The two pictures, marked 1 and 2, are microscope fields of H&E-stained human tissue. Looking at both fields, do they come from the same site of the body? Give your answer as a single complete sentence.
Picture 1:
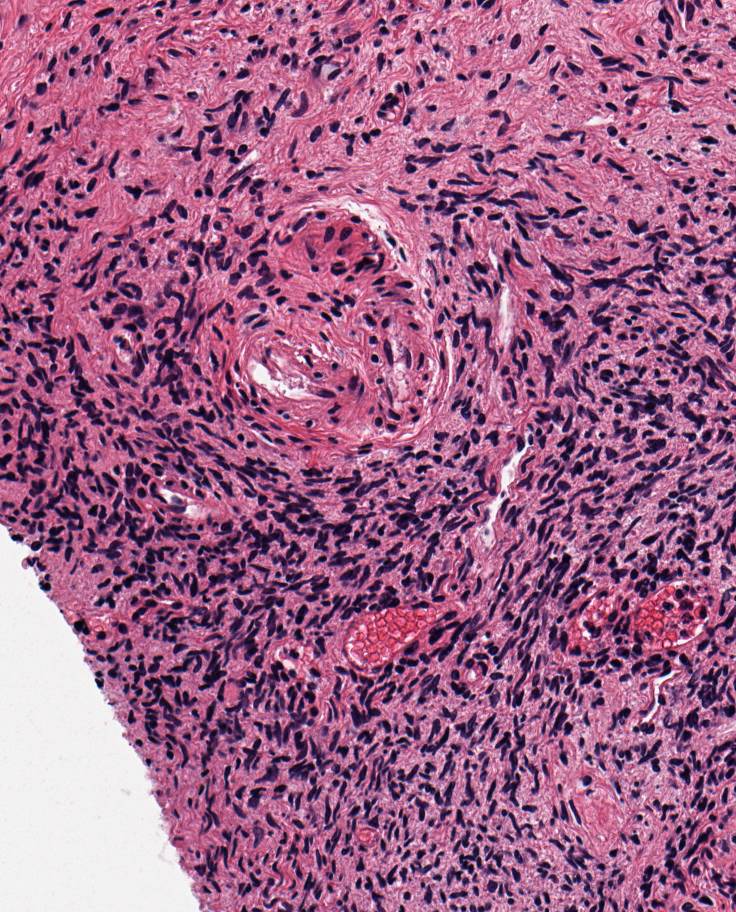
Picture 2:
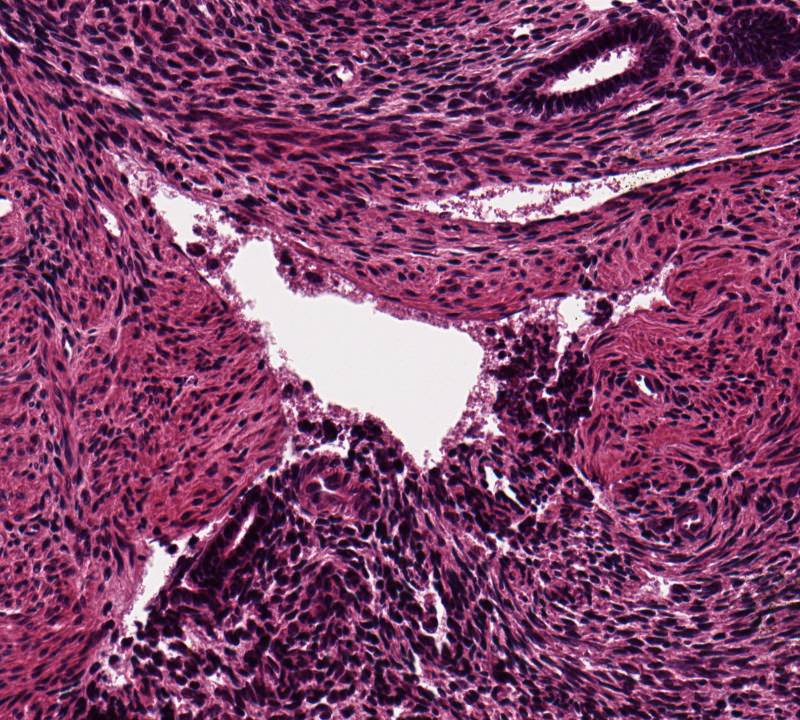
No: picture 1 comes from the ovary, but picture 2 comes from the body of the uterus.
